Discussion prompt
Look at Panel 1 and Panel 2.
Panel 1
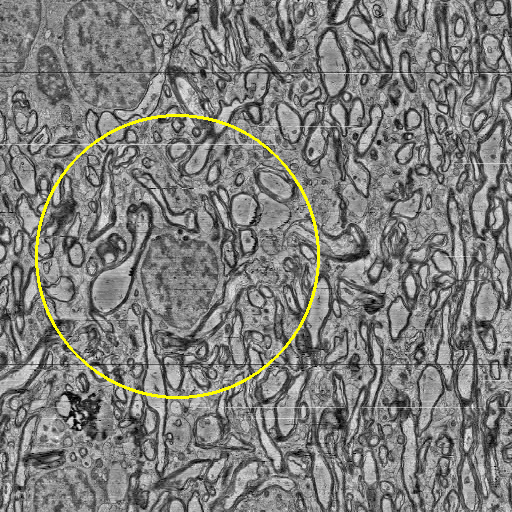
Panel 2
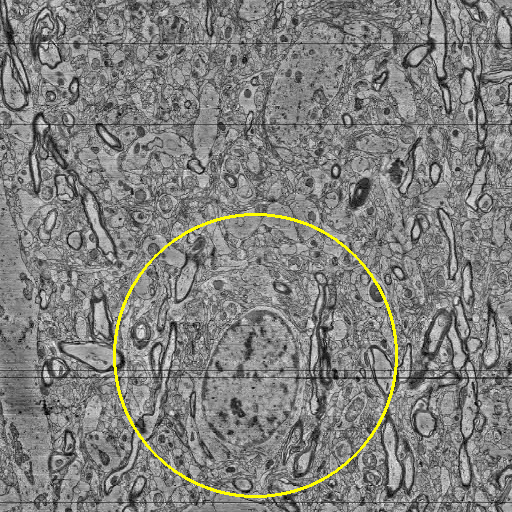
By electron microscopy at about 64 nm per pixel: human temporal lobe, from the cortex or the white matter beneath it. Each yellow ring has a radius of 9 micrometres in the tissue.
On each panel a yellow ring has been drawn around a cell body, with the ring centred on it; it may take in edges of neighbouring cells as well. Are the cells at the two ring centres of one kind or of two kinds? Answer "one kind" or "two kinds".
two kinds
